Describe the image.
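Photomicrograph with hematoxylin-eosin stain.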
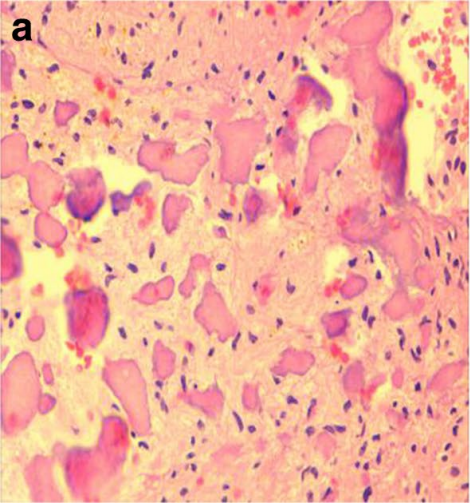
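This shows a cellular fibrous stroma with scattered osteoid and basophilic calcifications. Numerous spindle cells with elongated dark nuclei lie in a loose, pale pink fibrillary background. Scattered throughout are irregular islands of pink matrix, several of which contain or are capped by rounded dark purple deposits. Red blood cells are dispersed among the islands and collect at the upper right. The purple material appears clumped and smudgy rather than crisply outlined.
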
